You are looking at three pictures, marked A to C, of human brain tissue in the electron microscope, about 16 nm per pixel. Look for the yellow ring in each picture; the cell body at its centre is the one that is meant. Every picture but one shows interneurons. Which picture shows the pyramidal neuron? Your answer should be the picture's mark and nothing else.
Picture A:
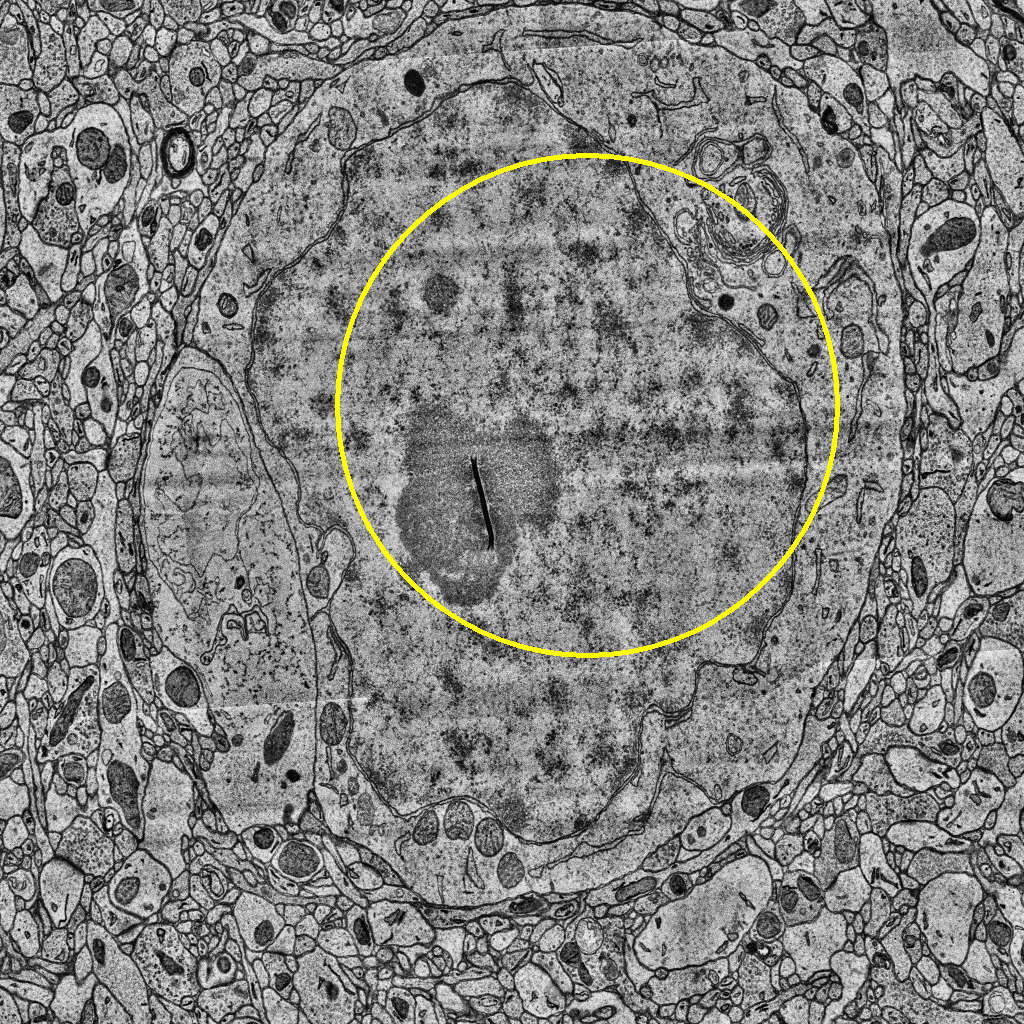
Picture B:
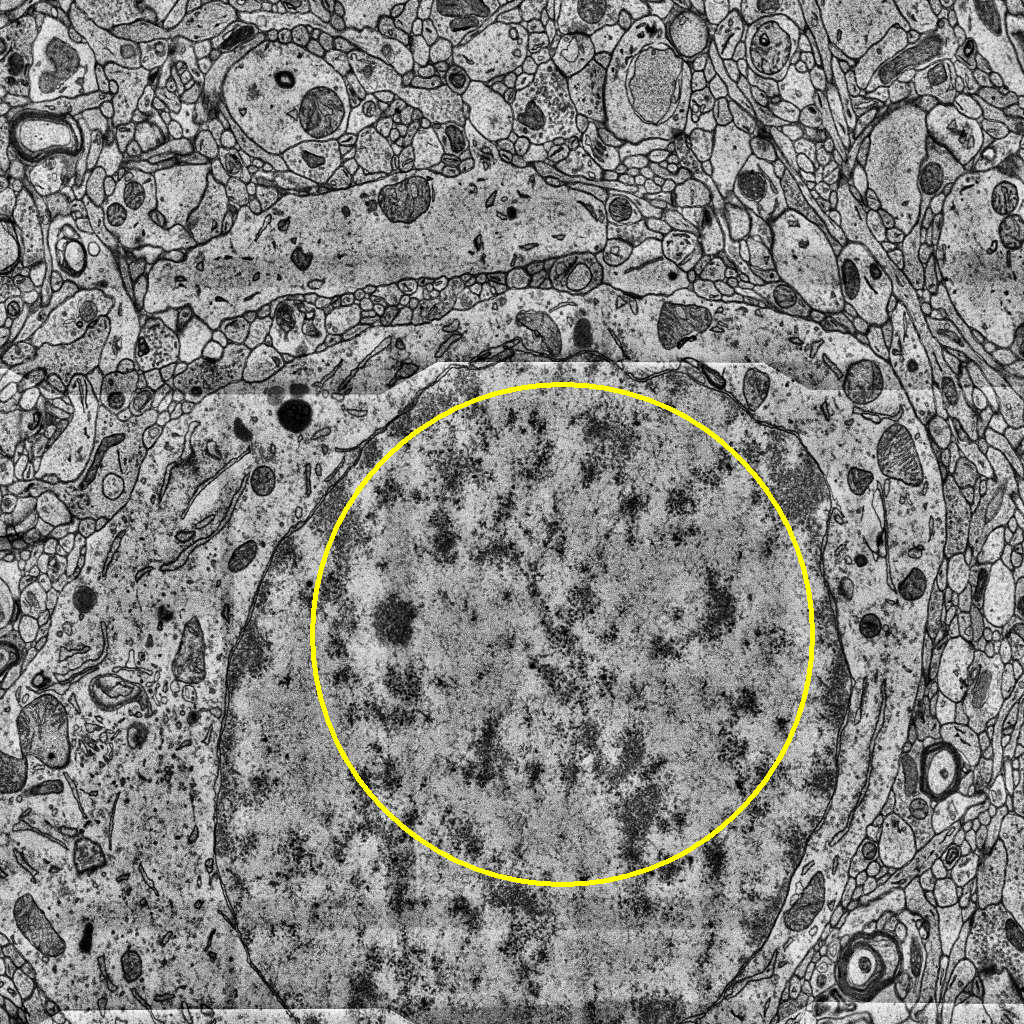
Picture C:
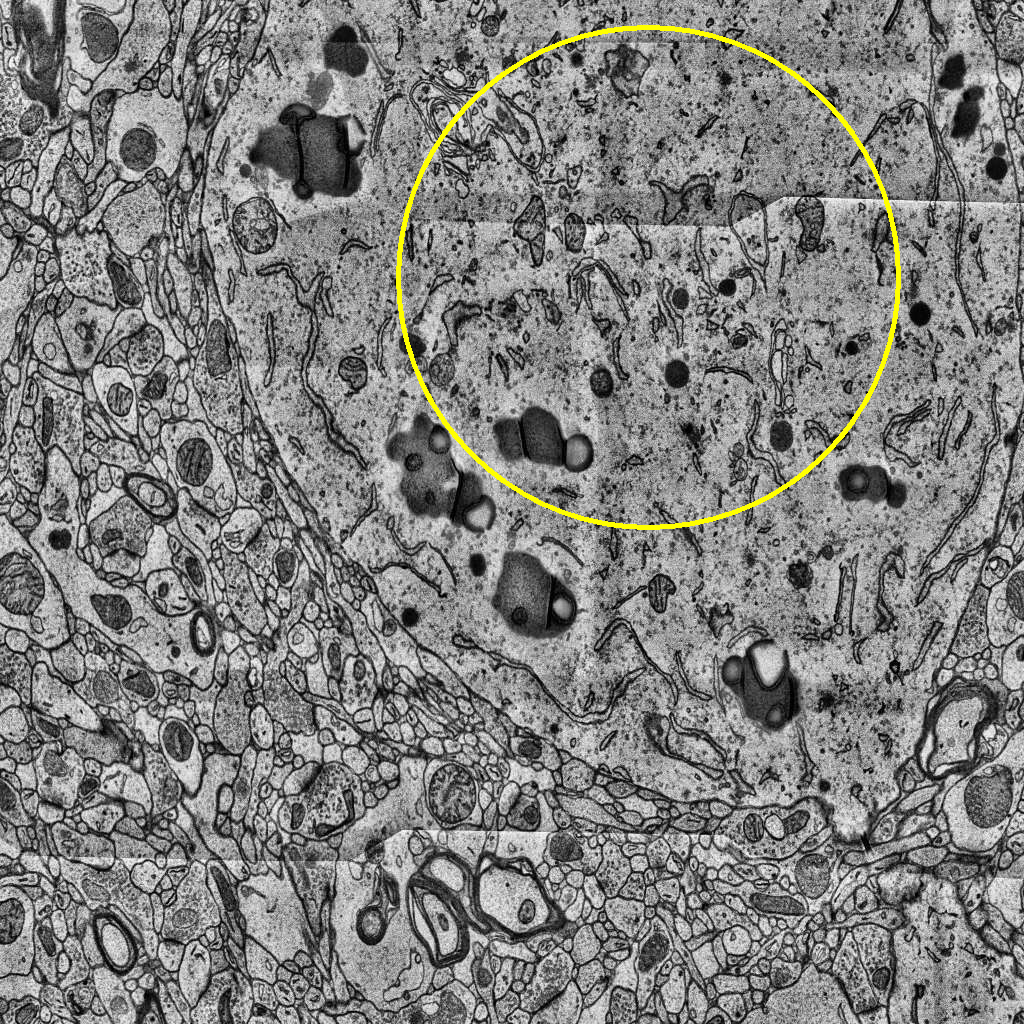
C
